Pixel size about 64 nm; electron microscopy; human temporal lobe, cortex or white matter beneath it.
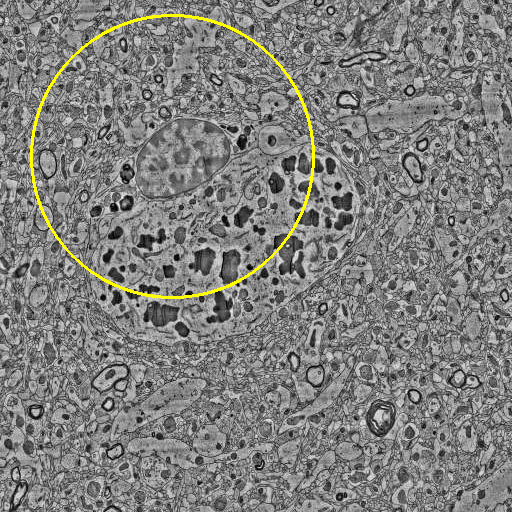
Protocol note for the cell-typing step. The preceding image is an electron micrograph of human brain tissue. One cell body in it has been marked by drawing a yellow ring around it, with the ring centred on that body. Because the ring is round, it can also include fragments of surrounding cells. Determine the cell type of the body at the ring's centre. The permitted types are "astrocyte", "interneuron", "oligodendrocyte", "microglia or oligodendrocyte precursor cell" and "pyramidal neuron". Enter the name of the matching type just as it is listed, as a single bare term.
microglia or oligodendrocyte precursor cell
